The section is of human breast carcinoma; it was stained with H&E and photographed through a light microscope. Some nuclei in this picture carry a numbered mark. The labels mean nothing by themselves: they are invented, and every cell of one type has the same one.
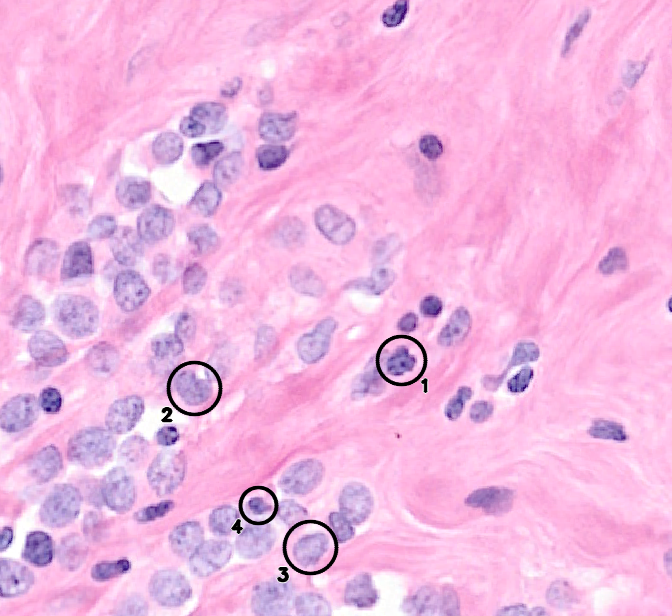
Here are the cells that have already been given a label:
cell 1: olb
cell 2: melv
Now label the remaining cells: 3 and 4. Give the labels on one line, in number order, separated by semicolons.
melv; olb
